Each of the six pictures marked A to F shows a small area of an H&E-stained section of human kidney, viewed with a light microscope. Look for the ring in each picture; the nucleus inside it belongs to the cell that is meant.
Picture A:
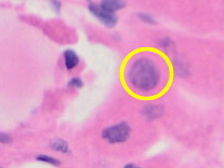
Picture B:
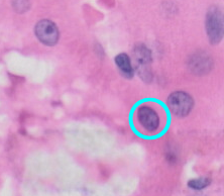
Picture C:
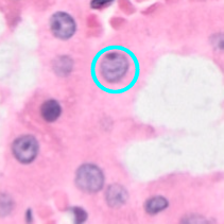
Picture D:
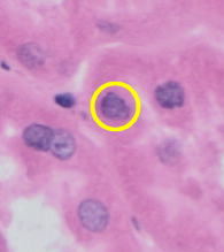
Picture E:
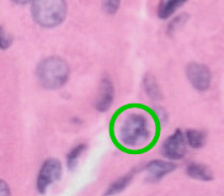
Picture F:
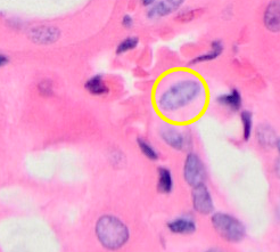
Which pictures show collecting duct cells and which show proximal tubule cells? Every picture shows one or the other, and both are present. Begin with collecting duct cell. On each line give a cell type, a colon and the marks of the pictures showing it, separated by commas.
collecting duct cell: E, F
proximal tubule cell: A, B, C, D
